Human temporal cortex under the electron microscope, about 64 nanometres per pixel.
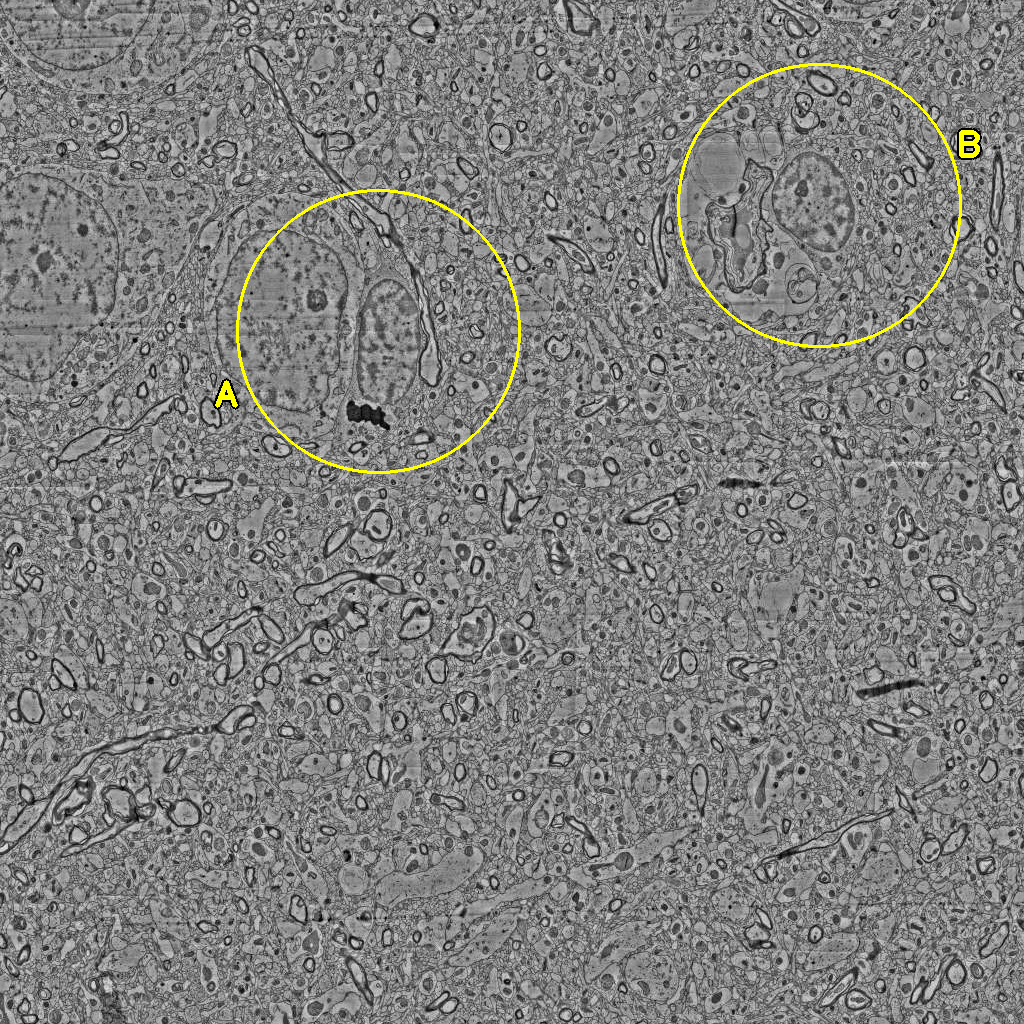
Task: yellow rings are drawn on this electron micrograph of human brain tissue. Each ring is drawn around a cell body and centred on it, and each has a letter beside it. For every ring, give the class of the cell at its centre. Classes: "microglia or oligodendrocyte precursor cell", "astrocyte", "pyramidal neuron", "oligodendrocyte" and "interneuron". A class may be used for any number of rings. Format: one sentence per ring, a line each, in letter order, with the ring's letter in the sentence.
The cell ringed as A is an oligodendrocyte.
The cell ringed as B is an oligodendrocyte.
